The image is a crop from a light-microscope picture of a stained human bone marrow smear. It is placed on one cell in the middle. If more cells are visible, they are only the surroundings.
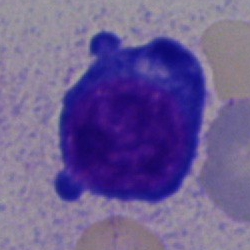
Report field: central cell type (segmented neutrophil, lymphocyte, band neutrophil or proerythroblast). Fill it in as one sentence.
As for the central cell, it is a proerythroblast.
